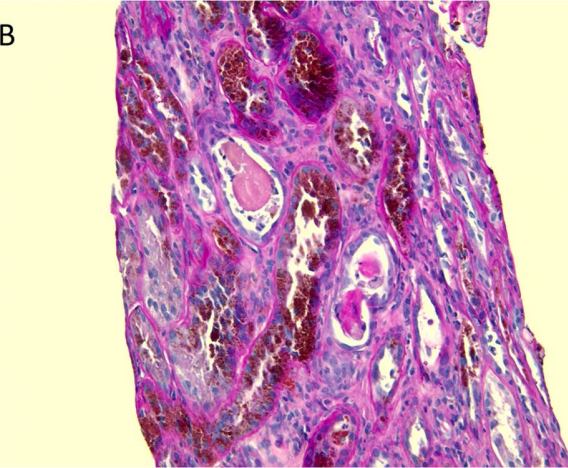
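Renal cortex with proximal tubular epithelial cells whose cytoplasm is packed with coarse dark brown granules. The tubules are outlined by magenta basement membranes and lie apart in a scarred, fibrous background with scattered nuclei; some tubule lumina hold pale pink casts.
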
